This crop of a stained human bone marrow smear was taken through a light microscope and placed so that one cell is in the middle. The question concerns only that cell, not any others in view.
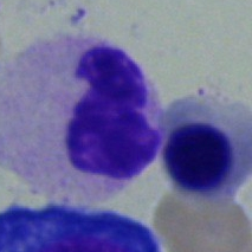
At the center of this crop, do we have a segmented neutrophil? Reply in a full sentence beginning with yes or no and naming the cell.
No, the centered cell is a band neutrophil and not a segmented neutrophil at all.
